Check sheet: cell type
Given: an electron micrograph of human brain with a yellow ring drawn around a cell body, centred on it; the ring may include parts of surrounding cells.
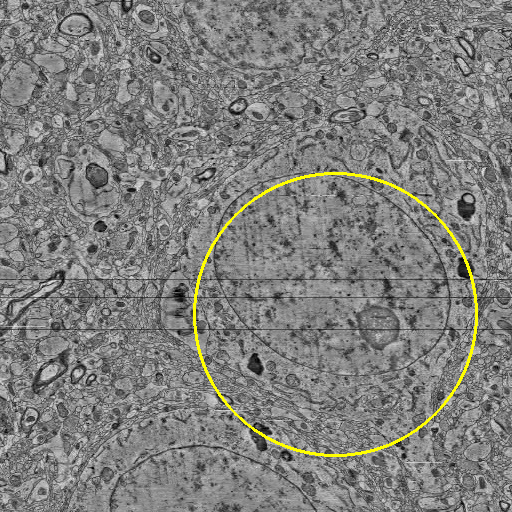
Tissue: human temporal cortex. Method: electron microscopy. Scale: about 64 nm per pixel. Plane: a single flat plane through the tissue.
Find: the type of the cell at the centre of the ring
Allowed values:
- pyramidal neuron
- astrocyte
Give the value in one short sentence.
Here the ringed cell is a pyramidal neuron.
